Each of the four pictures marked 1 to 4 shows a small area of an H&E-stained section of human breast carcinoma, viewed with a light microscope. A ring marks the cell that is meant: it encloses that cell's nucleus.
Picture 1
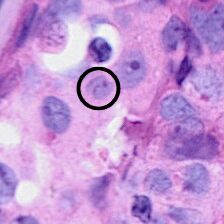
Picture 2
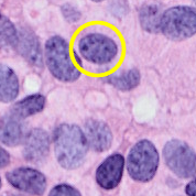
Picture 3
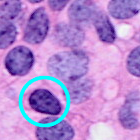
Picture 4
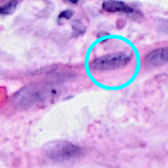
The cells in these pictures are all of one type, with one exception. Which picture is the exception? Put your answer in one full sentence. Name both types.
Unlike the rest, which show carcinoma cells, picture 4 shows an endothelial cell.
